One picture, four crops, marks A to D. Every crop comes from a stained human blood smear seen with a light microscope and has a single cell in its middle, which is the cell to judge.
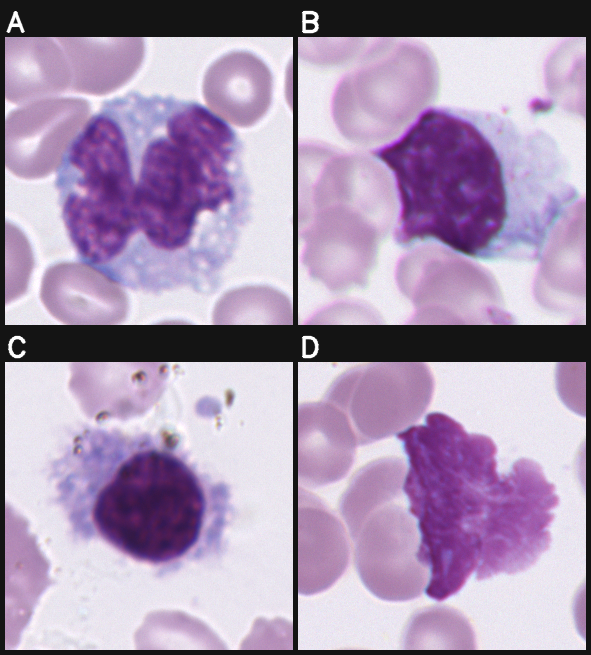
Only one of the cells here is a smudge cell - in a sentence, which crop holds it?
Among these crops, crop D holds a smudge cell.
